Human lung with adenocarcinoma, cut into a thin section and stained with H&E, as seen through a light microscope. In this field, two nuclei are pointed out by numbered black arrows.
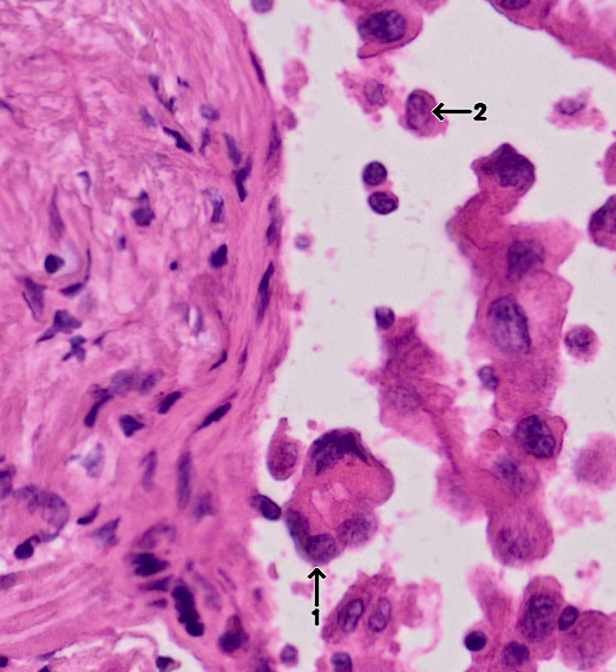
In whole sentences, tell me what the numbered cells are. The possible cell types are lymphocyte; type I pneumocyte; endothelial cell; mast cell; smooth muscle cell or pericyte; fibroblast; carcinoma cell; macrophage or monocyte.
Cell 1 is a carcinoma cell. Cell 2 is a macrophage or monocyte.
